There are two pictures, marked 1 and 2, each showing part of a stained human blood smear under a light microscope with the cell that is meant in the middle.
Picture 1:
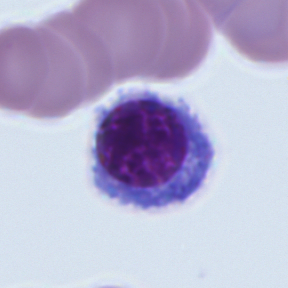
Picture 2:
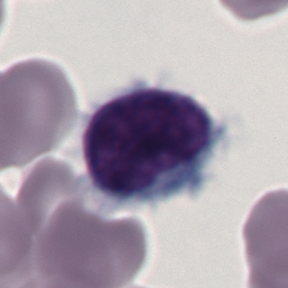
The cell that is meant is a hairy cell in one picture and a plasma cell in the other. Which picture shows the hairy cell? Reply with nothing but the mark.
2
